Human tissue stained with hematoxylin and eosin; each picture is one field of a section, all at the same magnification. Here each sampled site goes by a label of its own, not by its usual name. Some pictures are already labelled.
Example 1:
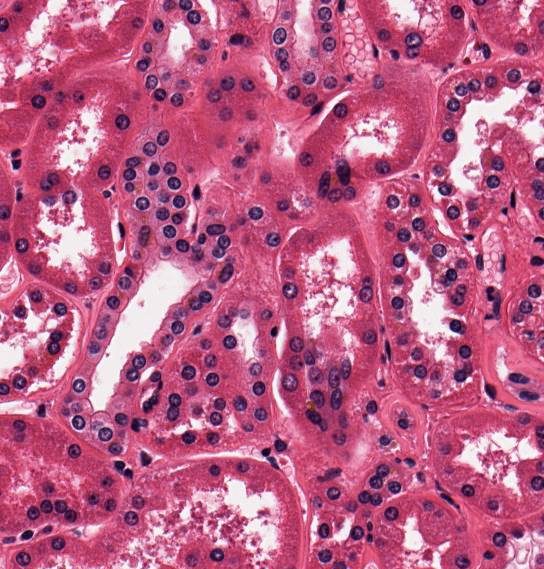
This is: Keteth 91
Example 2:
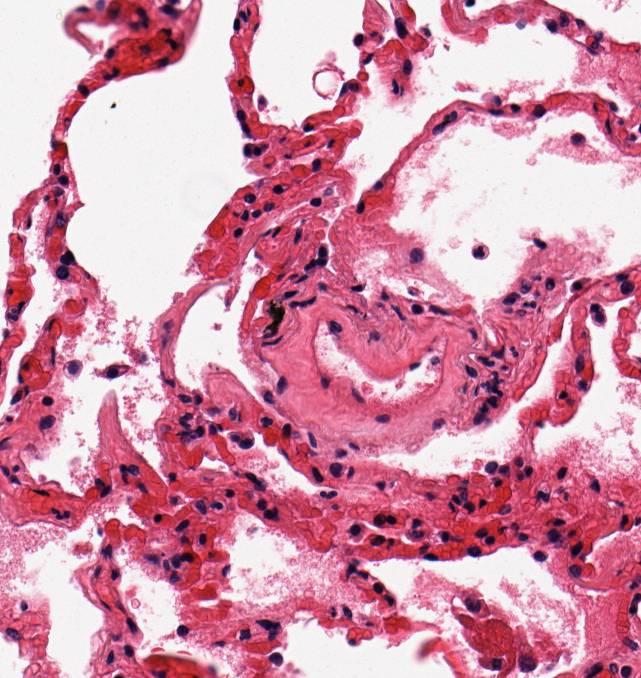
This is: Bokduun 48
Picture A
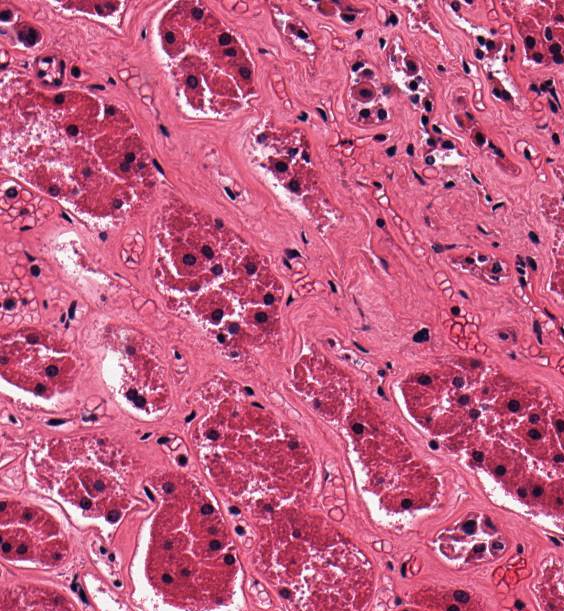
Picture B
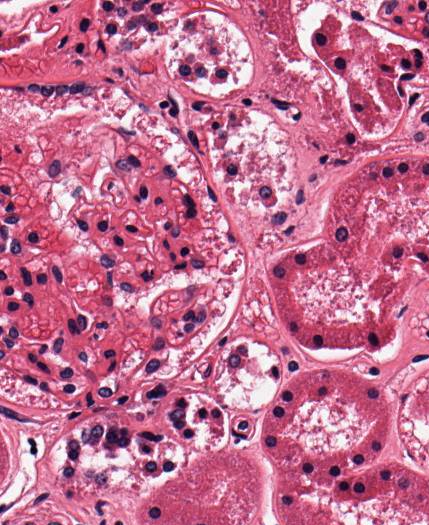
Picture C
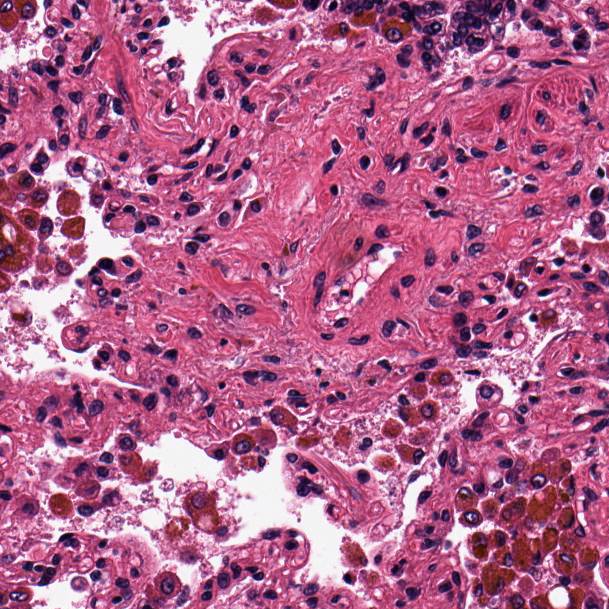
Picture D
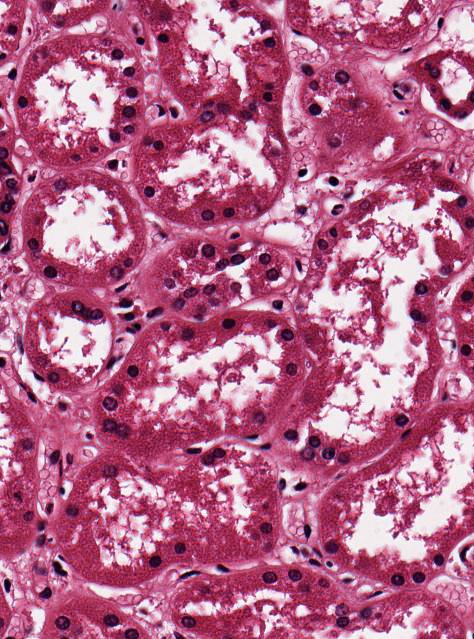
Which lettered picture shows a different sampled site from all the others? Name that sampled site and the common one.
Odd one out: C (Bokduun 48). The rest: Keteth 91.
